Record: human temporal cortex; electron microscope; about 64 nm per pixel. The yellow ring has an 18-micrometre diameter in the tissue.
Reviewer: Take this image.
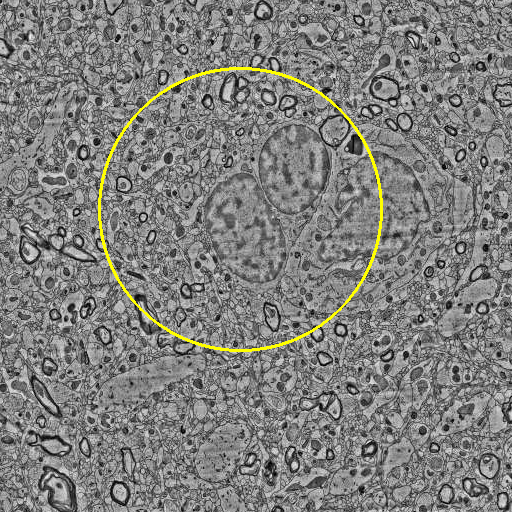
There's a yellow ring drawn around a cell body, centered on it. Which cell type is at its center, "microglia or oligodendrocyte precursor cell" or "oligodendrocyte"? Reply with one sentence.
At the center of the yellow ring is an oligodendrocyte.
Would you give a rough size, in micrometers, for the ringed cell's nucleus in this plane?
Roughly 7 by 5 micrometres; in this plane, clearly longer than it is wide.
